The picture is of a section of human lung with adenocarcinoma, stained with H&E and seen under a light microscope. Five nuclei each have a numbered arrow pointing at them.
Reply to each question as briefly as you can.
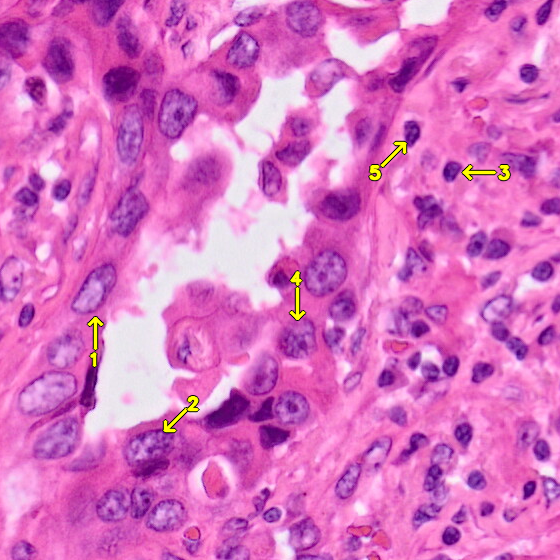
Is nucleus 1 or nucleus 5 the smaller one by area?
5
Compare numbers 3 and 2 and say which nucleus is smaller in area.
3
